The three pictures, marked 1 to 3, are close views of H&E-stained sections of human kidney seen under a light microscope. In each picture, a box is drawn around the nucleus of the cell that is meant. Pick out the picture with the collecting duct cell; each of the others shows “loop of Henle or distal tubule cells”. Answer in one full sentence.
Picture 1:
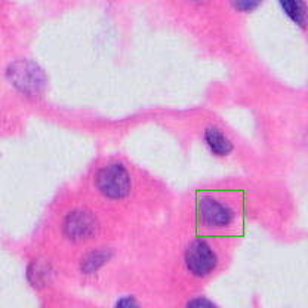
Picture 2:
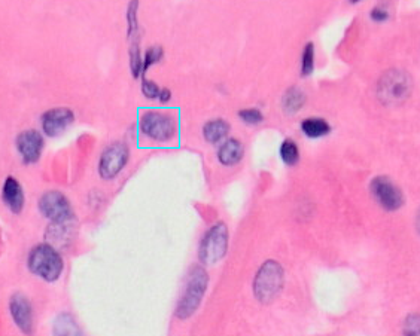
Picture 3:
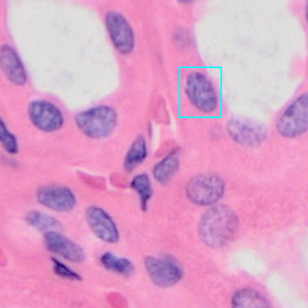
The collecting duct cell is the one in picture 2.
